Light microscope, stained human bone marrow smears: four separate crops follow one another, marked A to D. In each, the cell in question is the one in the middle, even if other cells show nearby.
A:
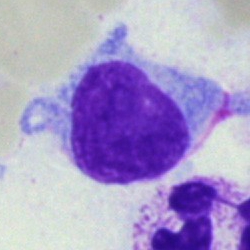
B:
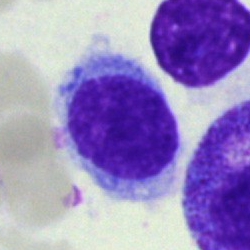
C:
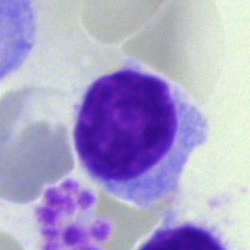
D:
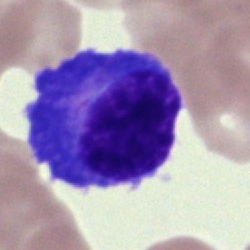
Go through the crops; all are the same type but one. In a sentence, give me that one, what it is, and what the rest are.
Crop D differs from its companions, showing a plasma cell where they show hairy cells.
